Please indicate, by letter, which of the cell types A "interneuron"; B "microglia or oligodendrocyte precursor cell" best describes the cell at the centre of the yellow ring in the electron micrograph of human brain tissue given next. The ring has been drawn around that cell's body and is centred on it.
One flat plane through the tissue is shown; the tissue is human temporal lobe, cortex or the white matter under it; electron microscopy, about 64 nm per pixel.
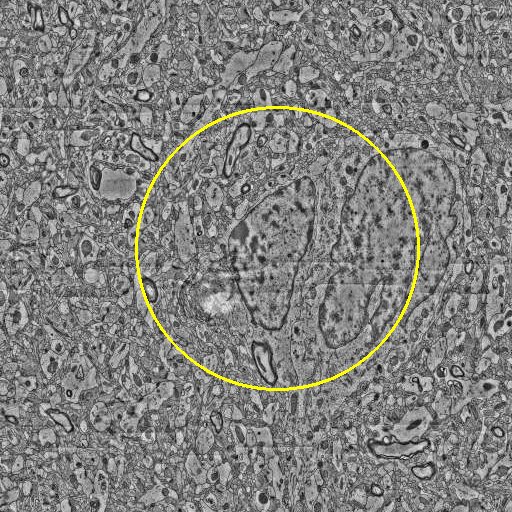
B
